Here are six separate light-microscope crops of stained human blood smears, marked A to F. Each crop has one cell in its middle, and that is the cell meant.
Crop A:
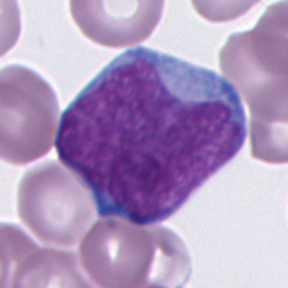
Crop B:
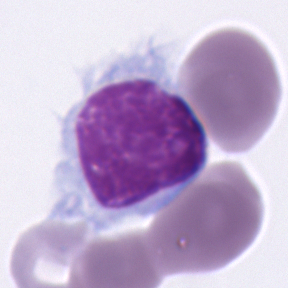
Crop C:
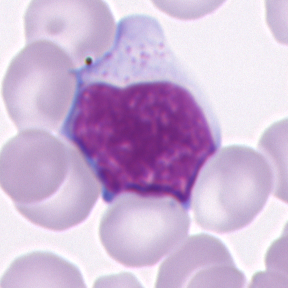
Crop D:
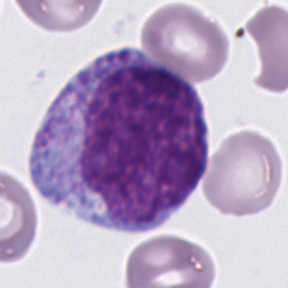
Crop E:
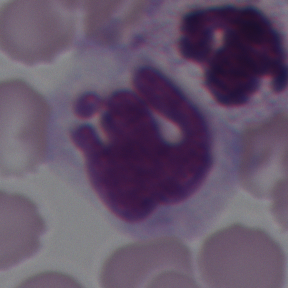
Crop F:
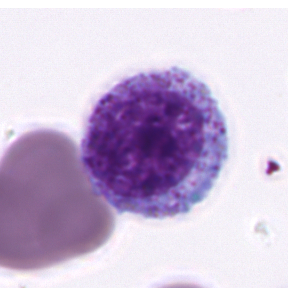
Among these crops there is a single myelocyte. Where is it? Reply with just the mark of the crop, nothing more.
F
